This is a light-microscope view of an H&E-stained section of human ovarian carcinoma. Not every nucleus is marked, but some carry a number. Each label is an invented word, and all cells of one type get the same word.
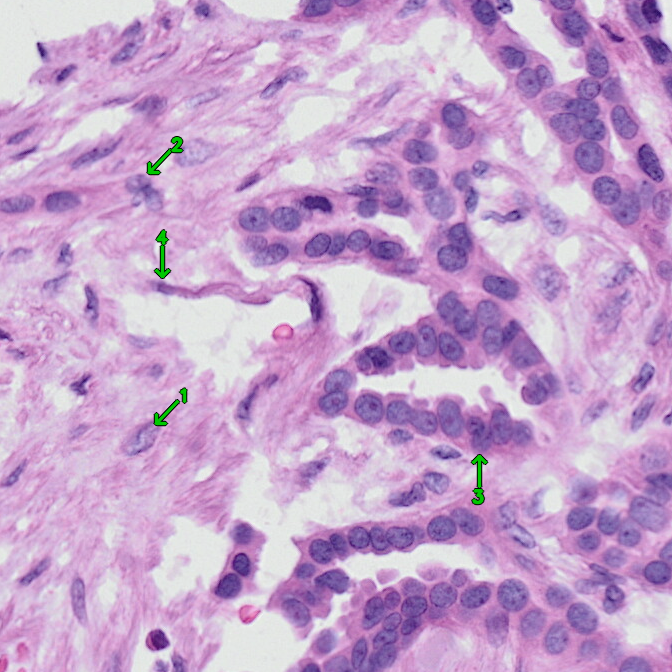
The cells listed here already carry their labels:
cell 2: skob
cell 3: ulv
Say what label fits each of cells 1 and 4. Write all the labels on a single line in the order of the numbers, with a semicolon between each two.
skob; skob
